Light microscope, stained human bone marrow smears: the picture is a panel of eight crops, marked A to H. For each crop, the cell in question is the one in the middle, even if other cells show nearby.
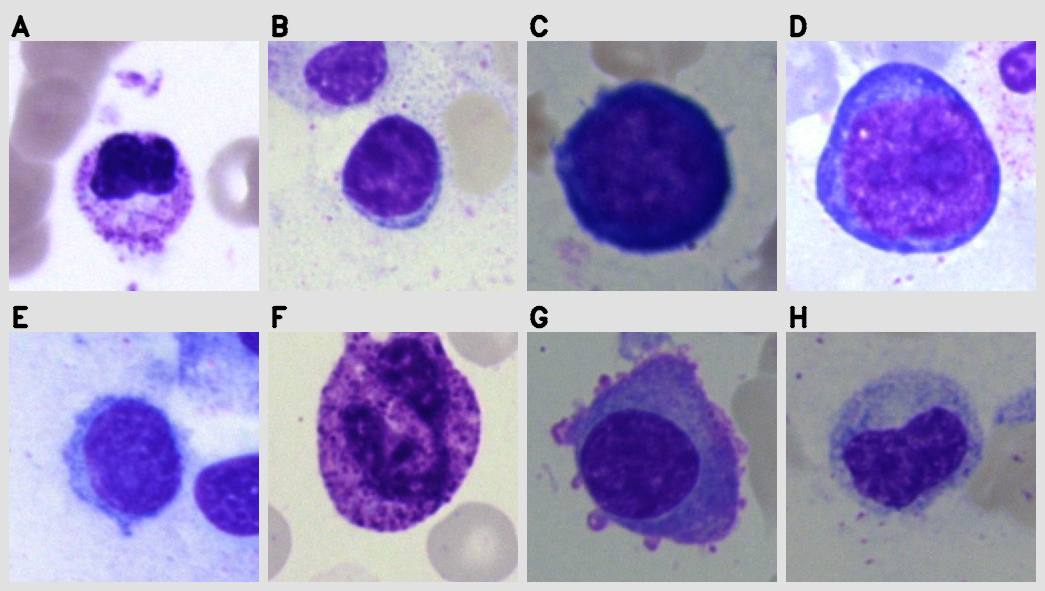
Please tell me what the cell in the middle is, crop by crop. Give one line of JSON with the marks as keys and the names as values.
{"A": "segmented neutrophil", "B": "lymphocyte", "C": "proerythroblast", "D": "proerythroblast", "E": "hairy cell", "F": "basophil", "G": "plasma cell", "H": "band neutrophil"}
